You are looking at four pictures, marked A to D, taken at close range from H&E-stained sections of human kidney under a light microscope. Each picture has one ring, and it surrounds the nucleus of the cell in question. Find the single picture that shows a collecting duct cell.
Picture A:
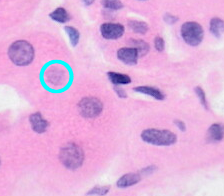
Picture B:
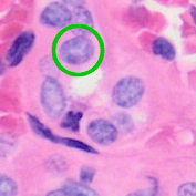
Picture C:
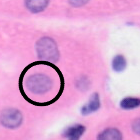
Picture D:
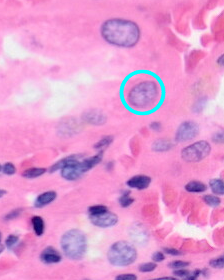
B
